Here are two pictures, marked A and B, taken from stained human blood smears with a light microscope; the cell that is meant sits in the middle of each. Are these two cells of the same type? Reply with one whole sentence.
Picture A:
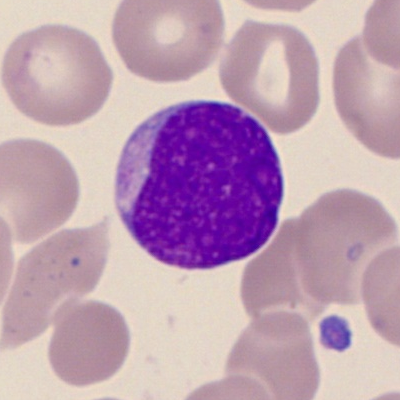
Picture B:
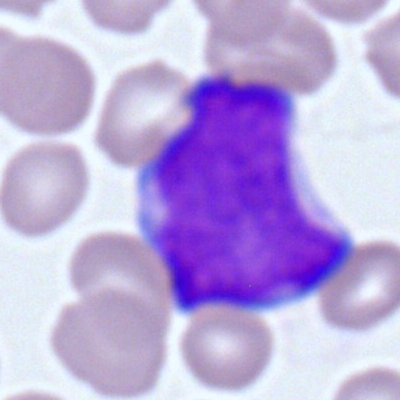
Yes; the cells in both pictures are myeloblasts.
